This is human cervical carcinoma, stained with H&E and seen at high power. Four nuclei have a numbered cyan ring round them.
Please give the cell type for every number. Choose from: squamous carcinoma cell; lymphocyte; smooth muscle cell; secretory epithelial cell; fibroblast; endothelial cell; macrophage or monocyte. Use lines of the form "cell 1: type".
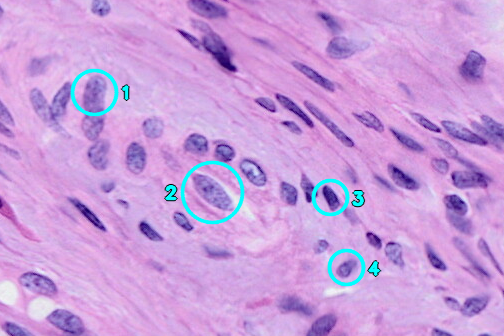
cell 1: fibroblast
cell 2: endothelial cell
cell 3: fibroblast
cell 4: fibroblast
